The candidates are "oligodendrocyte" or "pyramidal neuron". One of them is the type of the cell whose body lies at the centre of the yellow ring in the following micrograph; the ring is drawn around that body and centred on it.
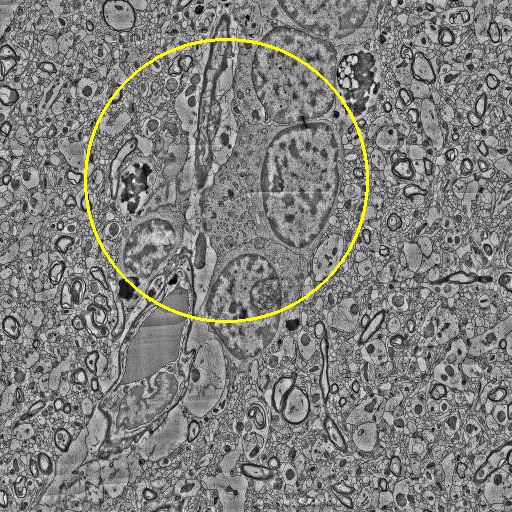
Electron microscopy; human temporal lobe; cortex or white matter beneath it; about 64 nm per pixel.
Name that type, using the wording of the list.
oligodendrocyte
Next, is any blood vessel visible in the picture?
Yes, a blood vessel shows in the picture.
